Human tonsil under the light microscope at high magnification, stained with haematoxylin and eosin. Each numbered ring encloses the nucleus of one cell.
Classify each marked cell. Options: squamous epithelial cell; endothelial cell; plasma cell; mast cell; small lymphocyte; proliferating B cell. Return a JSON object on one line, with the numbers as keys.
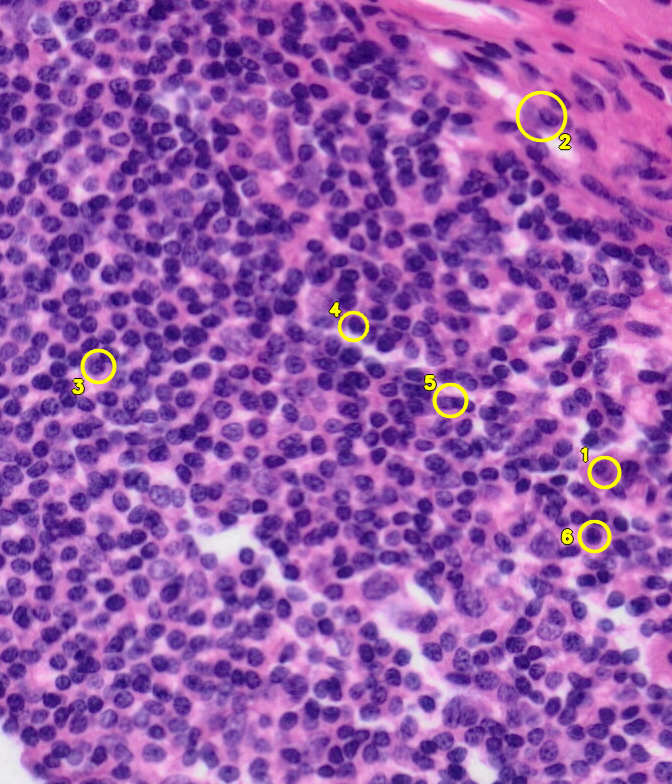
{"1": "plasma cell", "2": "endothelial cell", "3": "small lymphocyte", "4": "small lymphocyte", "5": "small lymphocyte", "6": "small lymphocyte"}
